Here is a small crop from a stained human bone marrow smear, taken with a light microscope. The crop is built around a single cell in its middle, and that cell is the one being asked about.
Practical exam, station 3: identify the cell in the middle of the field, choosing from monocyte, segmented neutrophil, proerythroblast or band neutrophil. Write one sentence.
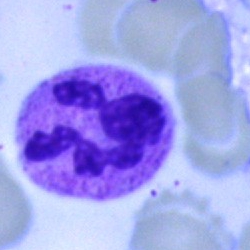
Answering briefly, the cell in the middle is a segmented neutrophil.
